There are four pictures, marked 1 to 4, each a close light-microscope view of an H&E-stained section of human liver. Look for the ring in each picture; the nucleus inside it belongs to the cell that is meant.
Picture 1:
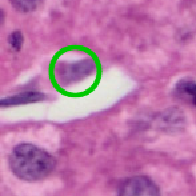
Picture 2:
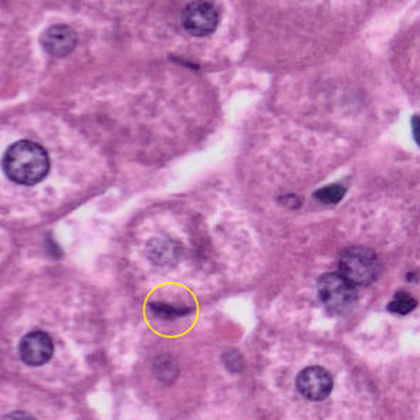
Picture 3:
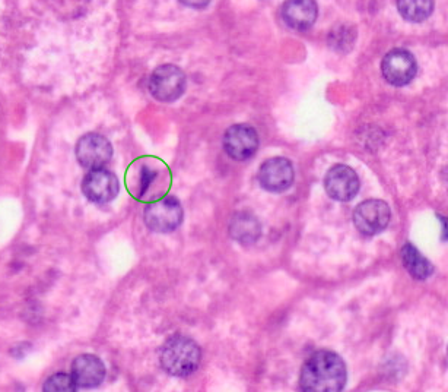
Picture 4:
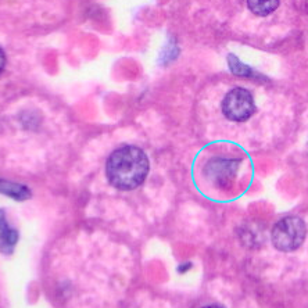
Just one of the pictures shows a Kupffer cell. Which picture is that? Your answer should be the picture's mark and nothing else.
1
